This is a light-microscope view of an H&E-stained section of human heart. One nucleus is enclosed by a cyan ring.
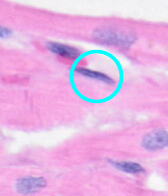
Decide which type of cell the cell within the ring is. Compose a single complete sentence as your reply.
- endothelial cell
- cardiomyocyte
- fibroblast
In this tissue sample, the cell within the ring is an endothelial cell.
